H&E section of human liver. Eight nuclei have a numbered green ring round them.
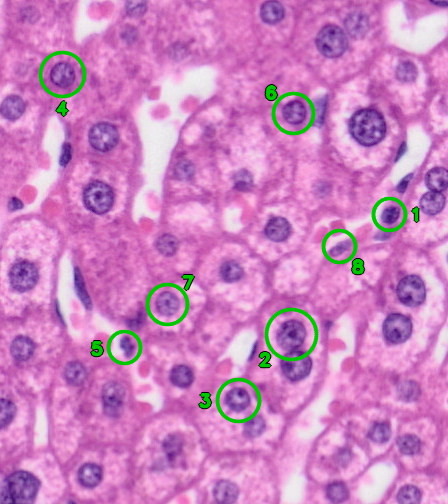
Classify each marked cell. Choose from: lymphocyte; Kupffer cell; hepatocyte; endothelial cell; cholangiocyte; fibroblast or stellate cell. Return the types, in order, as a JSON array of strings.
["lymphocyte", "hepatocyte", "hepatocyte", "hepatocyte", "lymphocyte", "hepatocyte", "hepatocyte", "Kupffer cell"]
